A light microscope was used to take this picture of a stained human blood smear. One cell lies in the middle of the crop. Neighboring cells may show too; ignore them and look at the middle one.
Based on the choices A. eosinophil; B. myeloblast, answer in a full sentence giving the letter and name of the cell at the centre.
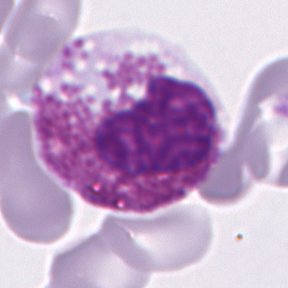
The cell occupying the centre is an eosinophil; option A is thus the correct choice.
